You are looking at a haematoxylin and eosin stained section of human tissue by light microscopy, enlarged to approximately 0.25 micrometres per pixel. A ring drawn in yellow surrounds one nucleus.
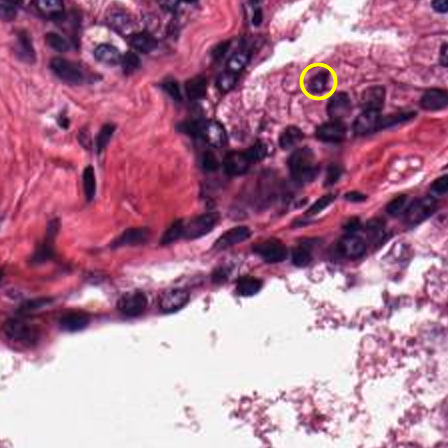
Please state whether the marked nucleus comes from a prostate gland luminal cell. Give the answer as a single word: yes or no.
yes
